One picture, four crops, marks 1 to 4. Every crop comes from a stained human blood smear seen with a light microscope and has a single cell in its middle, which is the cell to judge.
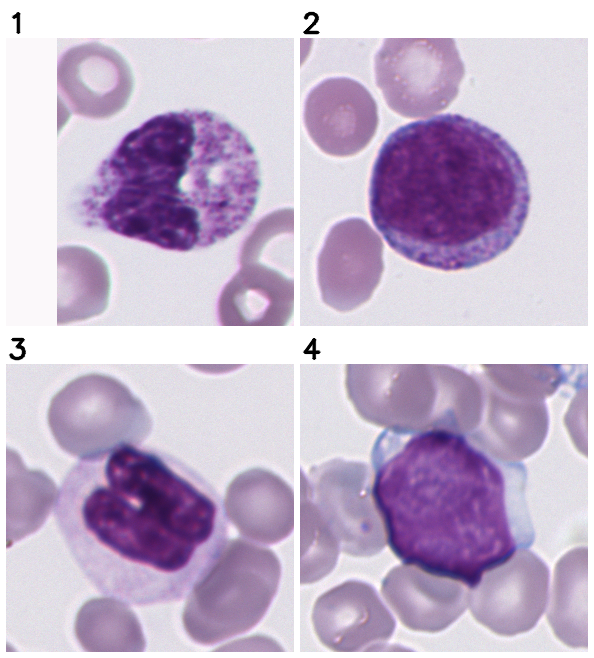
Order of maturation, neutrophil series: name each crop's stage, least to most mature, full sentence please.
From lowest to highest maturity, the crops run crop 4 (a blast), crop 2 (a promyelocyte), crop 1 (a band neutrophil) and crop 3 (a segmented neutrophil).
